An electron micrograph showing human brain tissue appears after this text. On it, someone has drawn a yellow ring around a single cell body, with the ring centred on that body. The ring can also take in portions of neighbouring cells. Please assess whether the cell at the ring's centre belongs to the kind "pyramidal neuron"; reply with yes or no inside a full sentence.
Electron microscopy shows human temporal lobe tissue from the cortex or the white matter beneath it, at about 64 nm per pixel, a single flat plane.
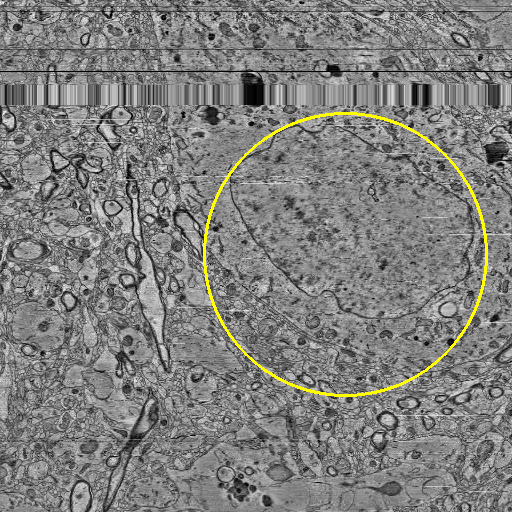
Yes, in this micrograph the cell at the centre of the ring is of that kind.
